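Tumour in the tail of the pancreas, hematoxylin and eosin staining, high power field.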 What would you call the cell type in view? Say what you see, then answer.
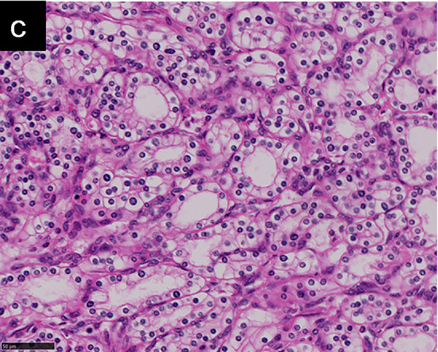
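Epithelial cells with clear cytoplasm. Cells with pale, empty-looking cytoplasm and round dark central nuclei. Cells line small rounded glandular spaces.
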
